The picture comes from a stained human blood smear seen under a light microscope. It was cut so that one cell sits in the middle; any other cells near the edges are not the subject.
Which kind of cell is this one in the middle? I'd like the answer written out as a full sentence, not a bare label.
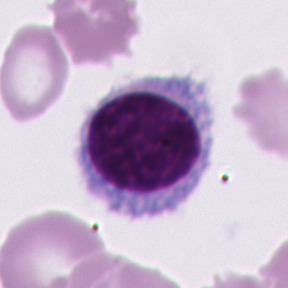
Positioned in the middle of the crop is a hairy cell.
